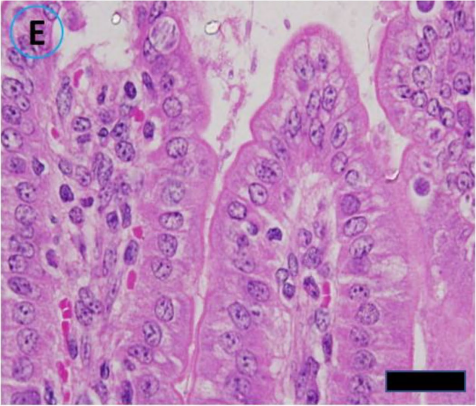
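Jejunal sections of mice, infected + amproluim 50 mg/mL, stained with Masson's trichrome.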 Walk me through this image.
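This higher-magnification view shows the tips of small intestinal villi, lined by tall columnar epithelial cells around a core of connective tissue. The epithelial cells have large oval purple nuclei with fine chromatin, several showing a visible nucleolus, set in pale pink cytoplasm. The nuclei are crowded and lie at somewhat varying heights within the epithelial layer. A pink border lines the free surface of the villi, facing the lumen. The villus cores contain scattered nuclei of connective tissue cells and several bright red blood cells. Some pale, frothy material lies in the lumen above the villus tips.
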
